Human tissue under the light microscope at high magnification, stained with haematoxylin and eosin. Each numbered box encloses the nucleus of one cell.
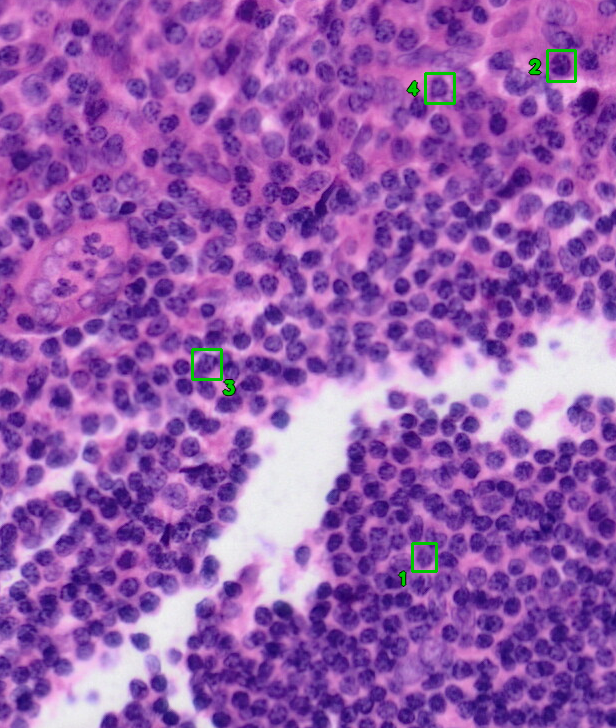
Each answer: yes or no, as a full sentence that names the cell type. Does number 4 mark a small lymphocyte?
No, rather than a small lymphocyte, cell number 4 is a plasma cell.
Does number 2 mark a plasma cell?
Yes, what number 2 marks is a plasma cell.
